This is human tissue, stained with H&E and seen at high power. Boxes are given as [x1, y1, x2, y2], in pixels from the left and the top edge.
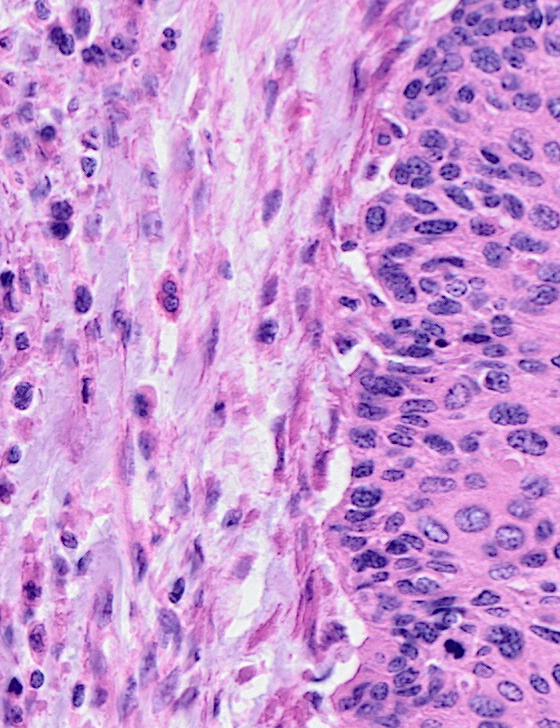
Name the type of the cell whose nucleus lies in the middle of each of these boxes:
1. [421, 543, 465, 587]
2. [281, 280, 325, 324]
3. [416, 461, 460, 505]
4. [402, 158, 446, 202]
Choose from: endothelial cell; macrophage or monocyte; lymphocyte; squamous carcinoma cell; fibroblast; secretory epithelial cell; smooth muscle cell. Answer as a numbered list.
1. squamous carcinoma cell
2. fibroblast
3. squamous carcinoma cell
4. squamous carcinoma cell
